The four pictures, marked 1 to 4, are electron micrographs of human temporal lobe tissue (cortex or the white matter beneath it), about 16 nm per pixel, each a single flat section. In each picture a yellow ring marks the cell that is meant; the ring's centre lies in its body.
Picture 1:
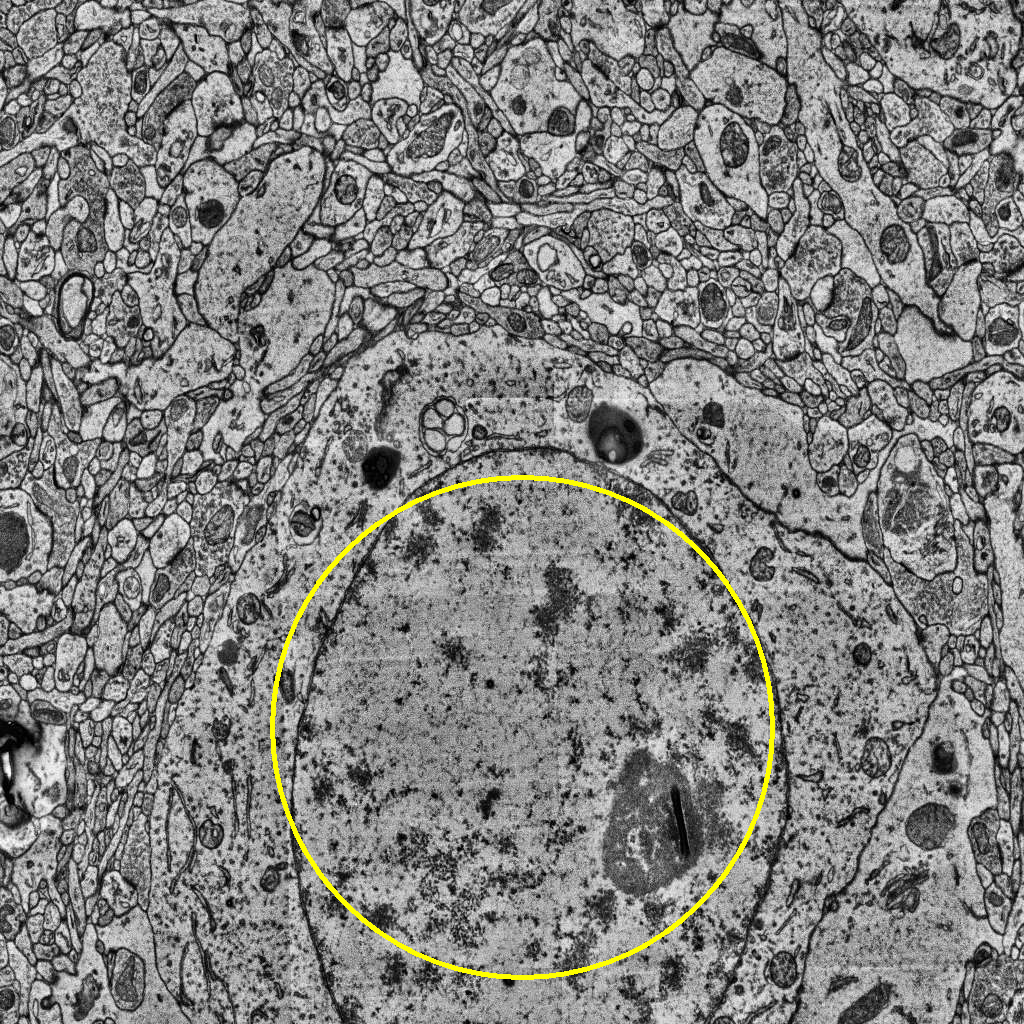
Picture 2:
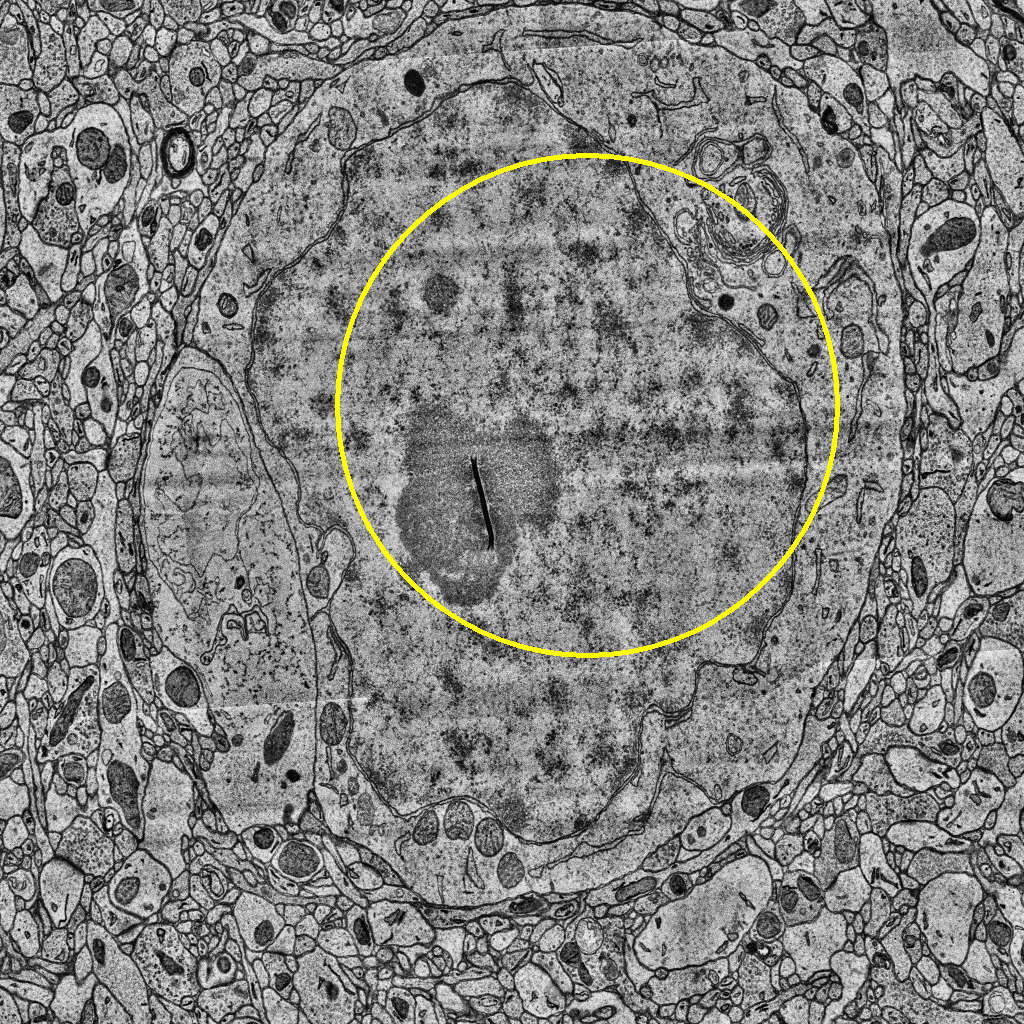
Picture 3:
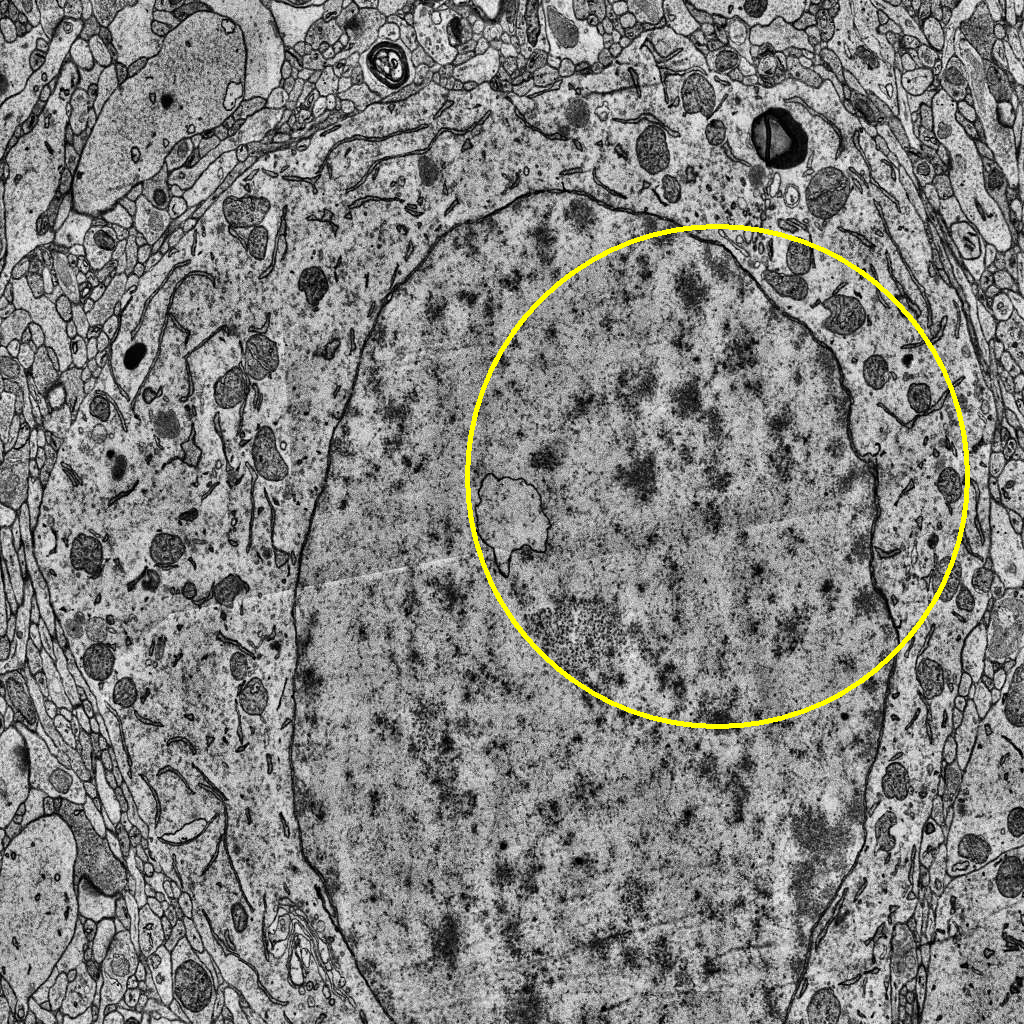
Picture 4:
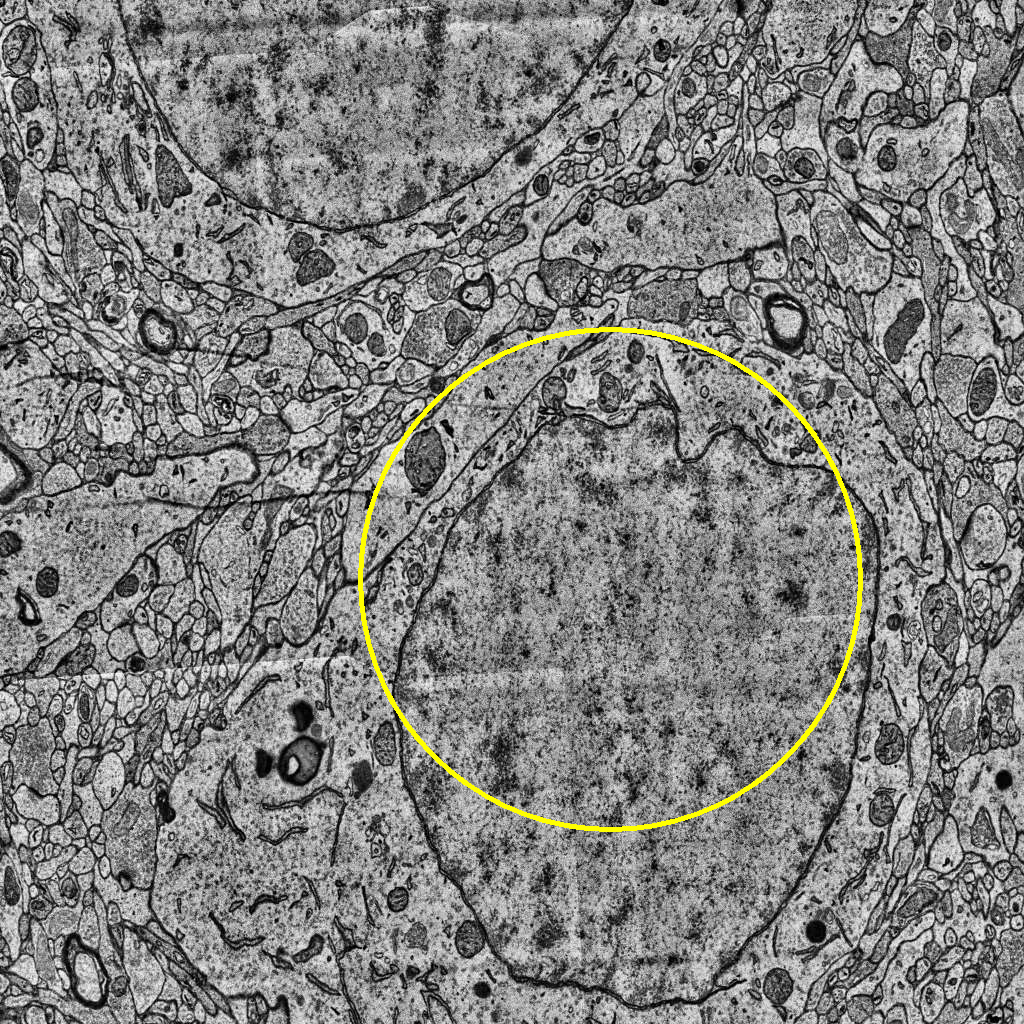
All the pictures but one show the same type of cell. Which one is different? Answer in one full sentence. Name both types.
The different one is picture 2; it shows an interneuron, whereas all the others show pyramidal neurons.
